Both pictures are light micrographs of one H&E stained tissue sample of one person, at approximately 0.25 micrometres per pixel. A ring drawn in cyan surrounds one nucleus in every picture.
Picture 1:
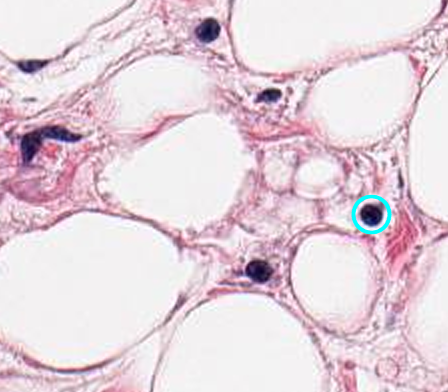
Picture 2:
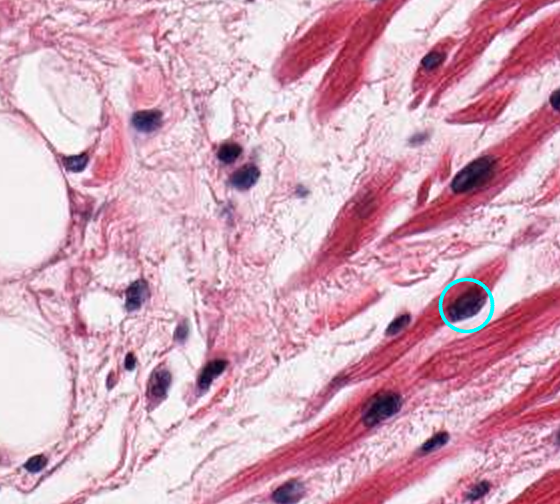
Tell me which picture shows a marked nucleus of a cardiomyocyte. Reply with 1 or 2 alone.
2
